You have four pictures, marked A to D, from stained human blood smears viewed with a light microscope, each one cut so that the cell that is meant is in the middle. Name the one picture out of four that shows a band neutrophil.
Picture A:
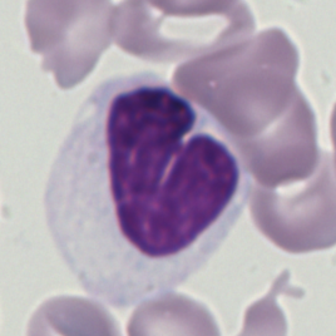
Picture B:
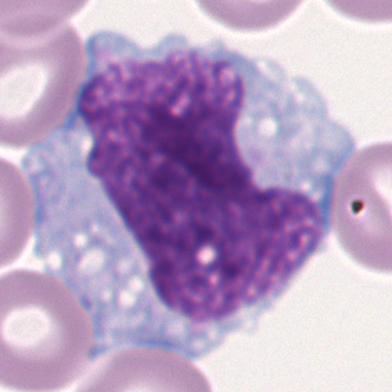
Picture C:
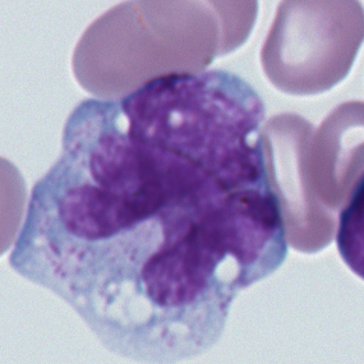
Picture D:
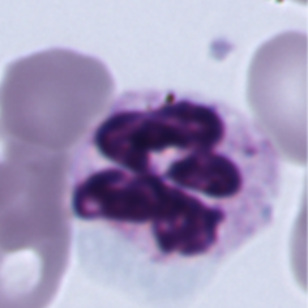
A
